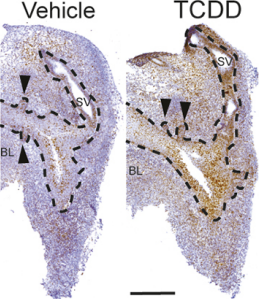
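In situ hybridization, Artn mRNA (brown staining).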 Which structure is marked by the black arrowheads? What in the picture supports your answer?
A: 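The arrowheads point at small outgrowths of the epithelium bordered by the dashed line. The outgrowths project from the epithelium into the surrounding mesenchyme. That points to this answer: prostatic bud.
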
